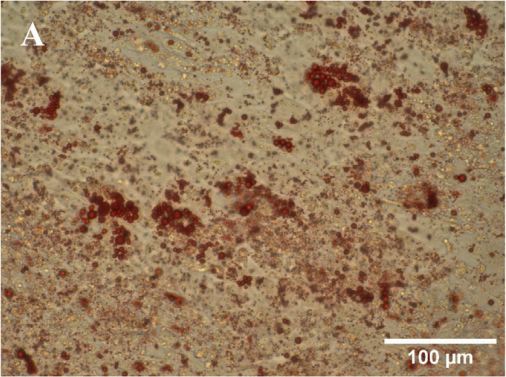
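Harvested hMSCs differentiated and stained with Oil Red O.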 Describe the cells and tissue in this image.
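Dense culture of adipocytes with clusters of round droplets stained deep red. Fine red-brown granules are spread throughout the background between the clusters.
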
